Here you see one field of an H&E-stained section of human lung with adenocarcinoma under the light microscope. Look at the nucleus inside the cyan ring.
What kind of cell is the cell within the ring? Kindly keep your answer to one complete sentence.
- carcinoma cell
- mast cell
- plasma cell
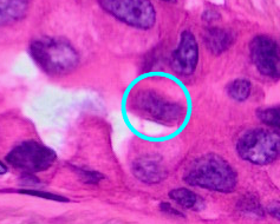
In the stained section, the cell within the ring is a carcinoma cell.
